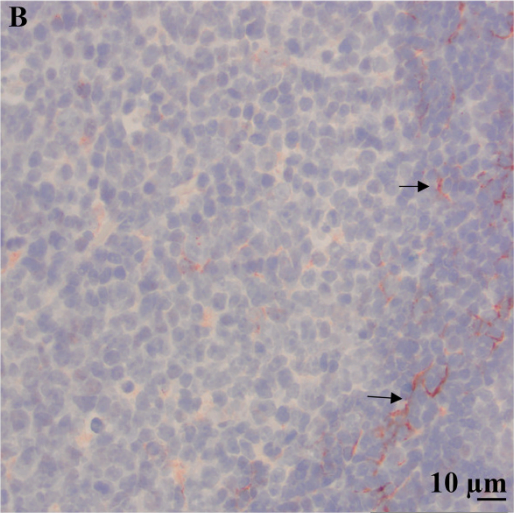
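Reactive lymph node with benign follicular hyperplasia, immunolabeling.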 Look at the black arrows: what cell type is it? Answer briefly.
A: dendritic cells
